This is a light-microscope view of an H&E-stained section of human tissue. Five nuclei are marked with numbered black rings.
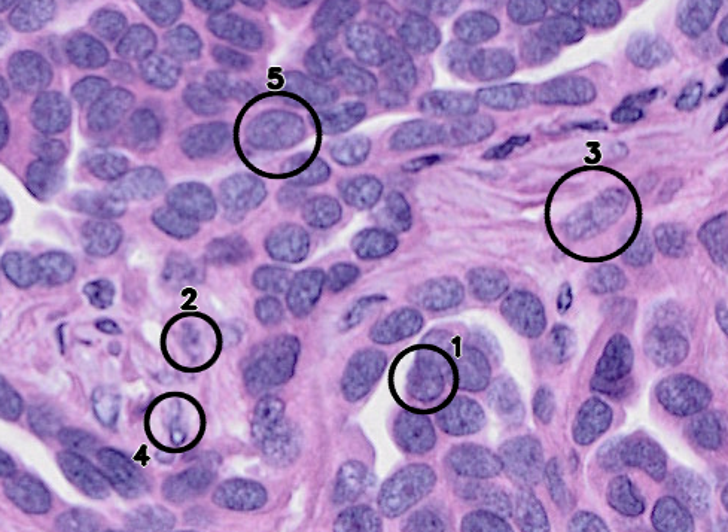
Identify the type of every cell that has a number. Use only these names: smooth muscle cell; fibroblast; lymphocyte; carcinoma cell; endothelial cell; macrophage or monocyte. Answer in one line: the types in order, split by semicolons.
carcinoma cell; fibroblast; fibroblast; fibroblast; carcinoma cell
